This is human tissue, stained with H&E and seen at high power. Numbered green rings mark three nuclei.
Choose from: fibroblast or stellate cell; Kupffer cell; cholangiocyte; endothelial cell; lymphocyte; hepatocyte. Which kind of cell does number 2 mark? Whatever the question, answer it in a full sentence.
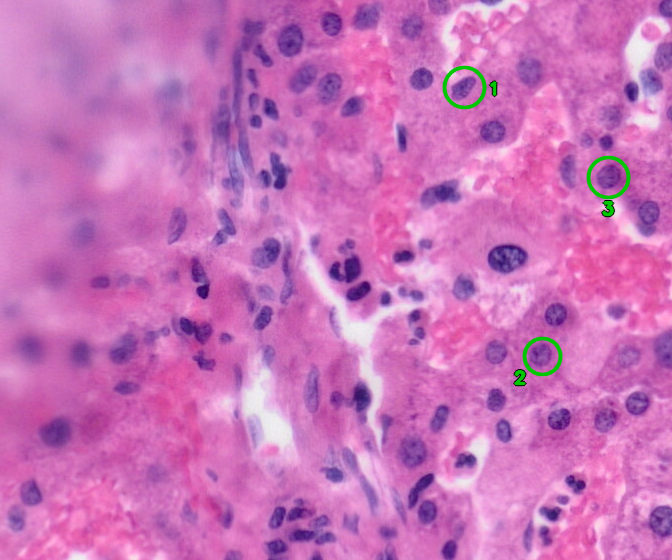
The numeral 2 marks a hepatocyte in this section.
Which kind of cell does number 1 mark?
The cell numbered 1 has been identified as a fibroblast or stellate cell.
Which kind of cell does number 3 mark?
The cell that carries the label 3 is a hepatocyte.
